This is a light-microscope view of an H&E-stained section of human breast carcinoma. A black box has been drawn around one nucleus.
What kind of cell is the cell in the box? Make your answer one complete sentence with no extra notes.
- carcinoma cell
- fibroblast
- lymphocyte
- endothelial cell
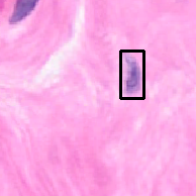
In cellular terms, the cell in the box is a fibroblast.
